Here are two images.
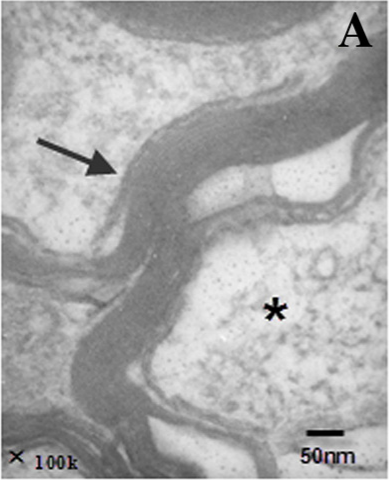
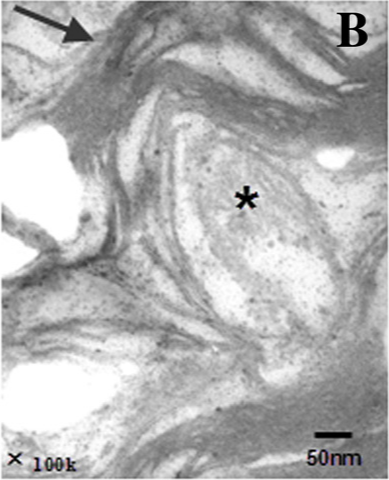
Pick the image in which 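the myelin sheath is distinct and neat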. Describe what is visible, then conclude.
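The first image. Second image: the dark wrapping layers are loose, split and frayed, with pale gaps between them. First image: a single thick, compact, evenly dark band with smooth edges.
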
